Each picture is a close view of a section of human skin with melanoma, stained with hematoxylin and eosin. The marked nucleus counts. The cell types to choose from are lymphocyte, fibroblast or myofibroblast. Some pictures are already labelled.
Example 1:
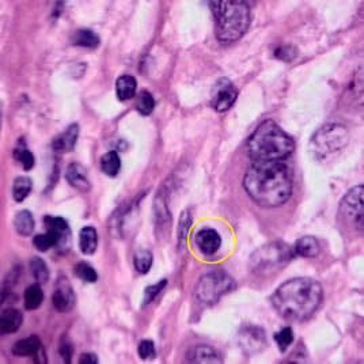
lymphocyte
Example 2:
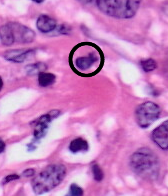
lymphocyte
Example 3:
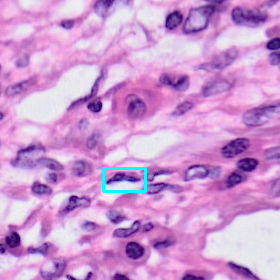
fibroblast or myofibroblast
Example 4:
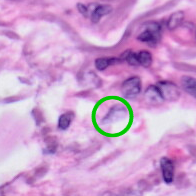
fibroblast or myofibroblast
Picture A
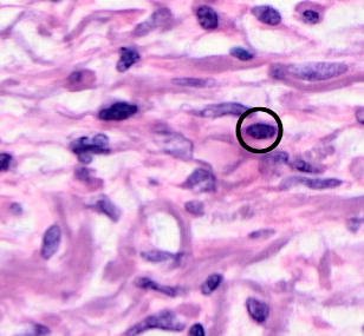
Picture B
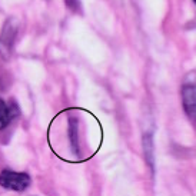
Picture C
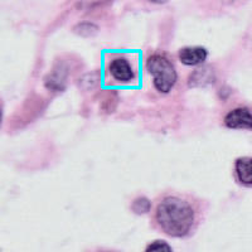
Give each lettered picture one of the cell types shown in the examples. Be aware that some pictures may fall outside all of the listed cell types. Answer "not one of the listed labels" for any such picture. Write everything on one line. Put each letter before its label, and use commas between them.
A not one of the listed labels, B fibroblast or myofibroblast, C lymphocyte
